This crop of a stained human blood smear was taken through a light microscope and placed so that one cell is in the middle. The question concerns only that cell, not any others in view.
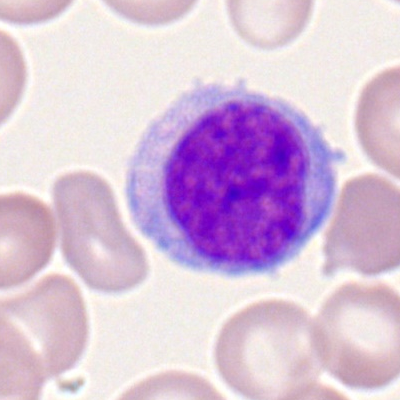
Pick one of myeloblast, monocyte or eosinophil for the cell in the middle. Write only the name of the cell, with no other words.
monocyte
